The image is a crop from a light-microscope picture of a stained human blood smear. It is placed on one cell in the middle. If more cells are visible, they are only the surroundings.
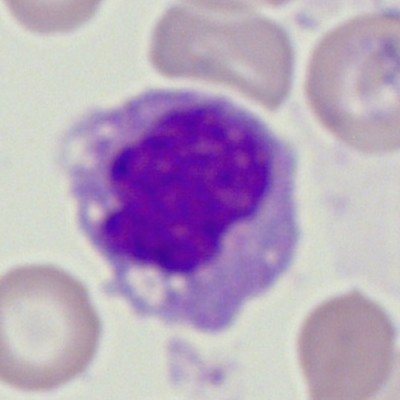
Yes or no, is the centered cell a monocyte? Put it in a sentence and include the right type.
Yes, the cell that the crop is centered on is a monocyte.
